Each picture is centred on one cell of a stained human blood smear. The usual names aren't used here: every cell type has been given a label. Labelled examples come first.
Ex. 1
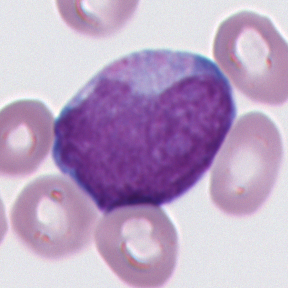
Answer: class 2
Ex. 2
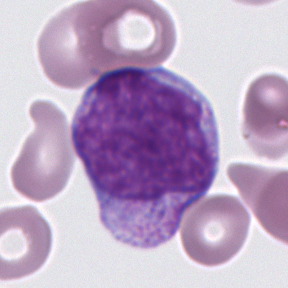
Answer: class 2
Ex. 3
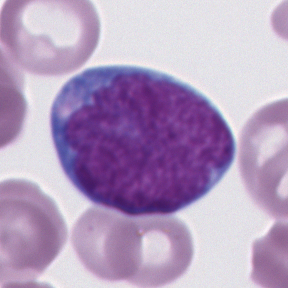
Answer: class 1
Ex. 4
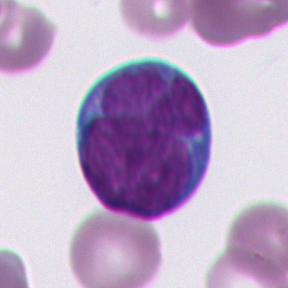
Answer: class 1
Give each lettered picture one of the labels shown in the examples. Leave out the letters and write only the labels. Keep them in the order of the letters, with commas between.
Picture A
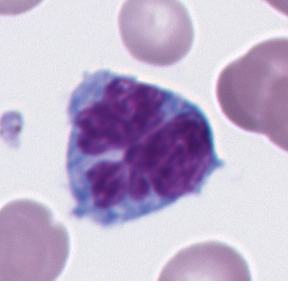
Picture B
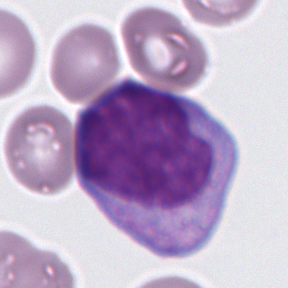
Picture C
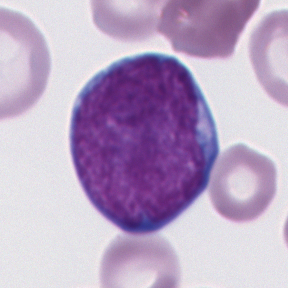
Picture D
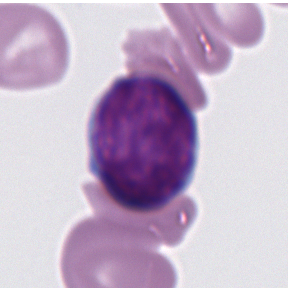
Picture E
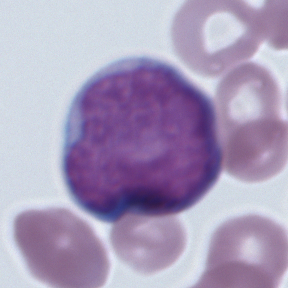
class 1, class 2, class 1, class 1, class 1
